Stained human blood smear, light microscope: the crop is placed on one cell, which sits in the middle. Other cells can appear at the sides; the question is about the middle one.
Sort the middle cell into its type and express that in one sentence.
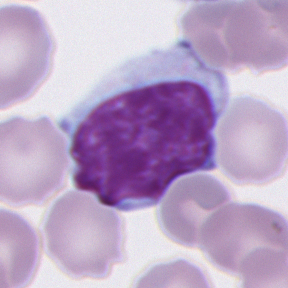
As for the central cell, it is a typical lymphocyte.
